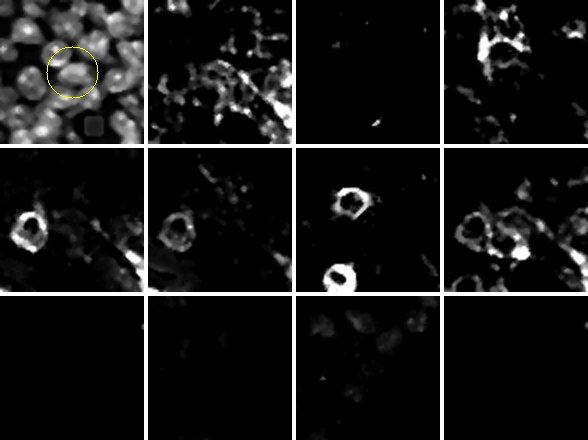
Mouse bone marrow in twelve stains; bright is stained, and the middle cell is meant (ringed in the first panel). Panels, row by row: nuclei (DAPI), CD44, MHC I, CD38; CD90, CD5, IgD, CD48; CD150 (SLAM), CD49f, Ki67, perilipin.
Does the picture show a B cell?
Yes.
